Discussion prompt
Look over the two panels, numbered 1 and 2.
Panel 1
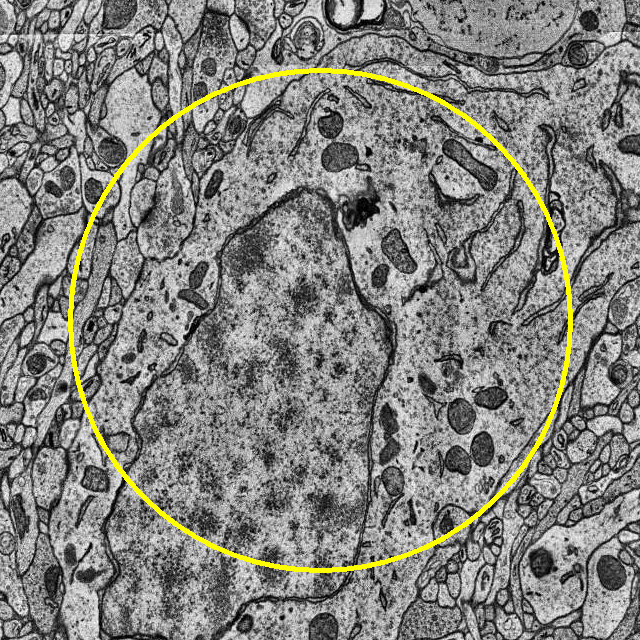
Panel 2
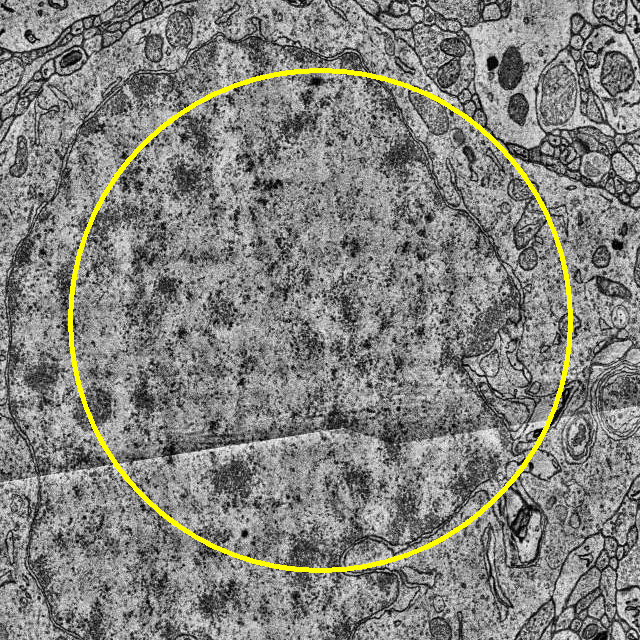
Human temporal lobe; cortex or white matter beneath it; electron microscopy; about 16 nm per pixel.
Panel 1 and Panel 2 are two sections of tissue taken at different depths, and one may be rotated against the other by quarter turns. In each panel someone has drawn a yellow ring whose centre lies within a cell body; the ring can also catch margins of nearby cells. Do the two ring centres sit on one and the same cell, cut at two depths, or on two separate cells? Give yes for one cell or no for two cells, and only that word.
no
